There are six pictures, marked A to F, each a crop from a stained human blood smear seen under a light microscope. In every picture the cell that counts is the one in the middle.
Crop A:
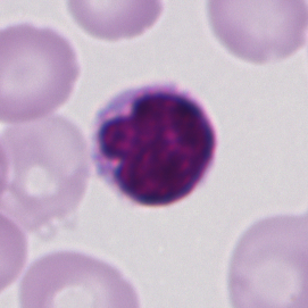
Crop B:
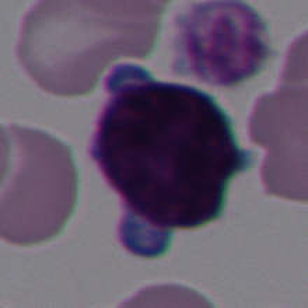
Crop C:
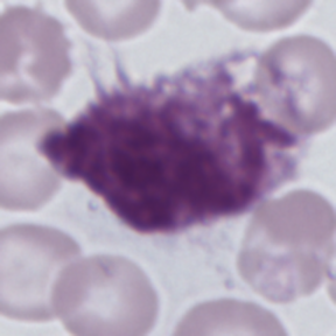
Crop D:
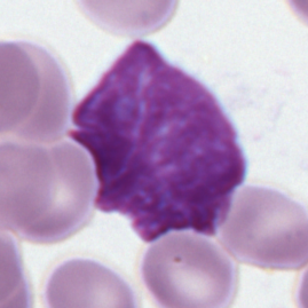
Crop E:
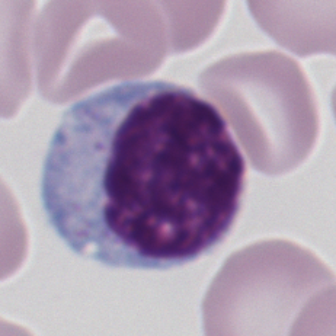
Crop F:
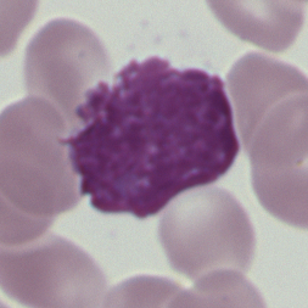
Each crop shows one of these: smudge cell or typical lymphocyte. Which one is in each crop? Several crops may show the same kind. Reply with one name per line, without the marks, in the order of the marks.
typical lymphocyte
typical lymphocyte
smudge cell
smudge cell
typical lymphocyte
smudge cell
